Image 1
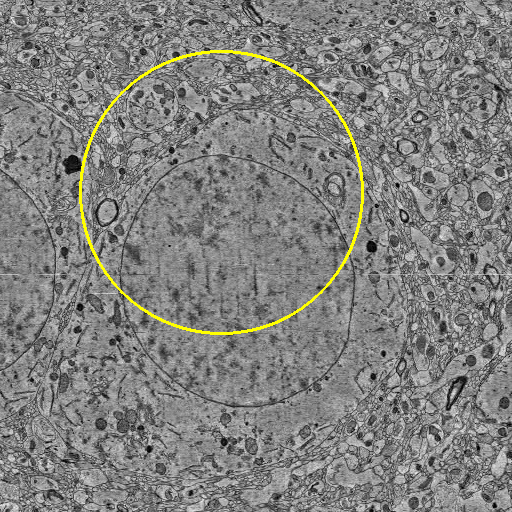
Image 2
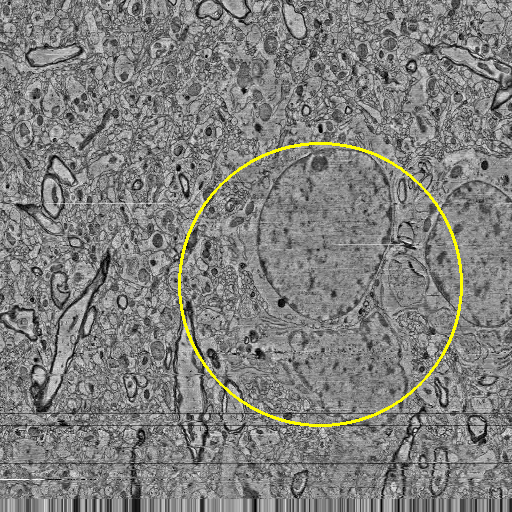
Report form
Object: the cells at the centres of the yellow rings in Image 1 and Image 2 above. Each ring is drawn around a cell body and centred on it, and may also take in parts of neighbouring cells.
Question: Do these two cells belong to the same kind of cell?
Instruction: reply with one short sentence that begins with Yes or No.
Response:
No, they belong to two kinds of cell.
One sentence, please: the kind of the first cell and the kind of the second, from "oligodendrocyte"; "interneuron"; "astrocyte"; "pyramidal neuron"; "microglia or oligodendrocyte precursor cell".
The ring in the first picture surrounds a pyramidal neuron, and the ring in the second surrounds an astrocyte.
